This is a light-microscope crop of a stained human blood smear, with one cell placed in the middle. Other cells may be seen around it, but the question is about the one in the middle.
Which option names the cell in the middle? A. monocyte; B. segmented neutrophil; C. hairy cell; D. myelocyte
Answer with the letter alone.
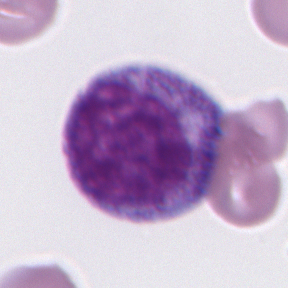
D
